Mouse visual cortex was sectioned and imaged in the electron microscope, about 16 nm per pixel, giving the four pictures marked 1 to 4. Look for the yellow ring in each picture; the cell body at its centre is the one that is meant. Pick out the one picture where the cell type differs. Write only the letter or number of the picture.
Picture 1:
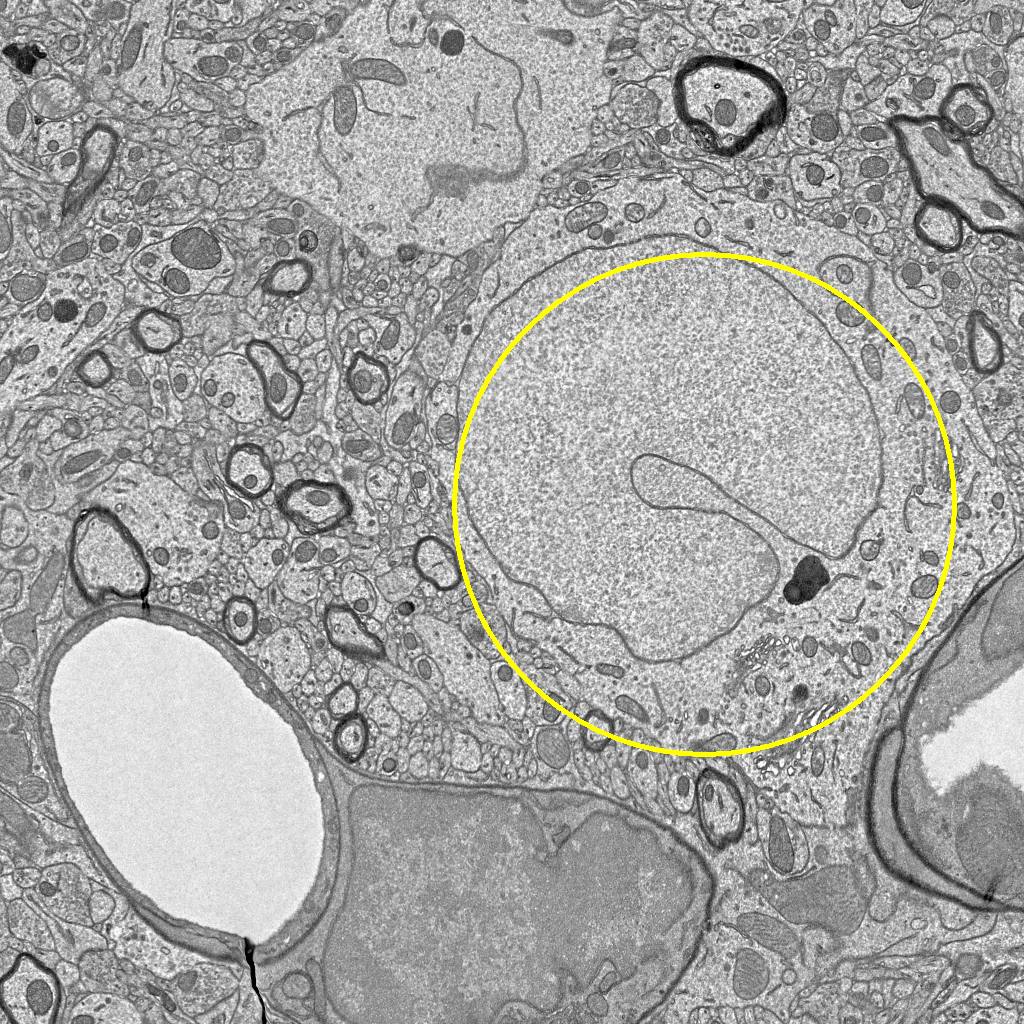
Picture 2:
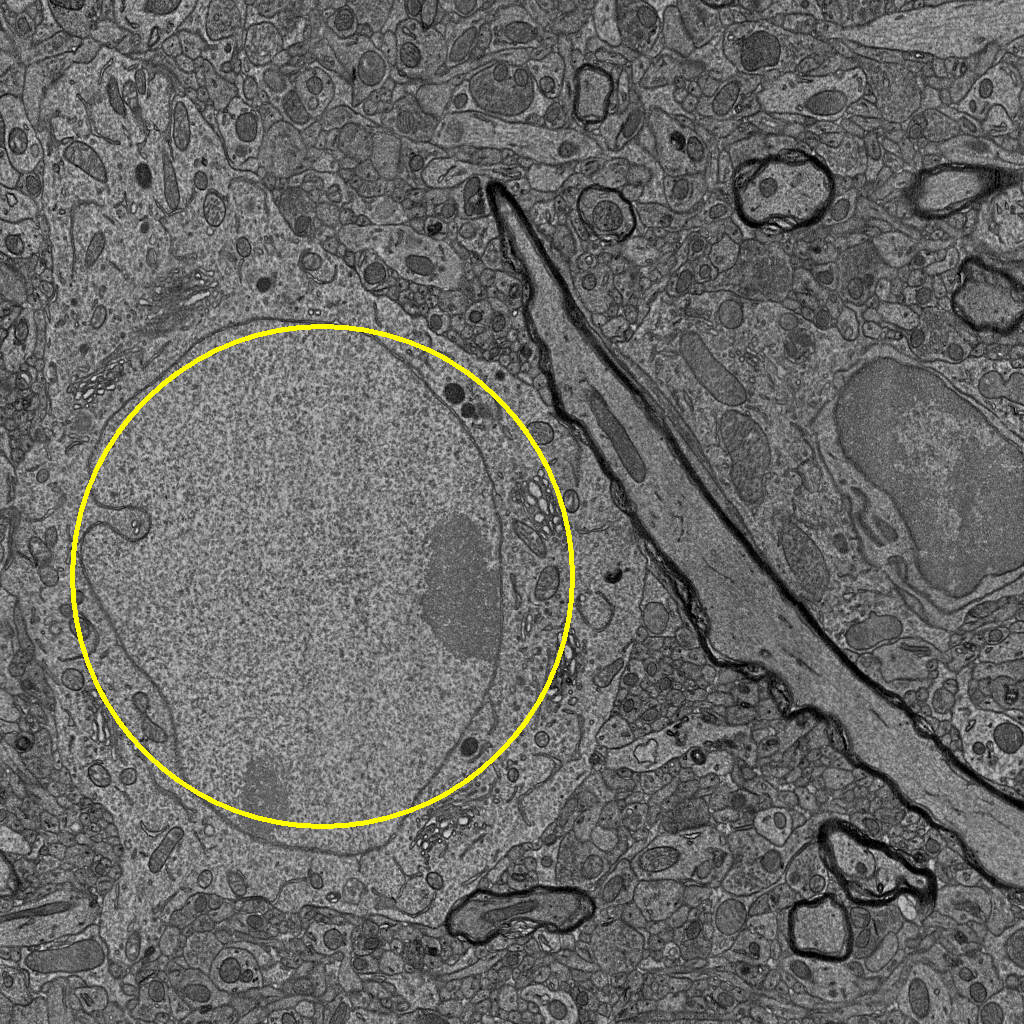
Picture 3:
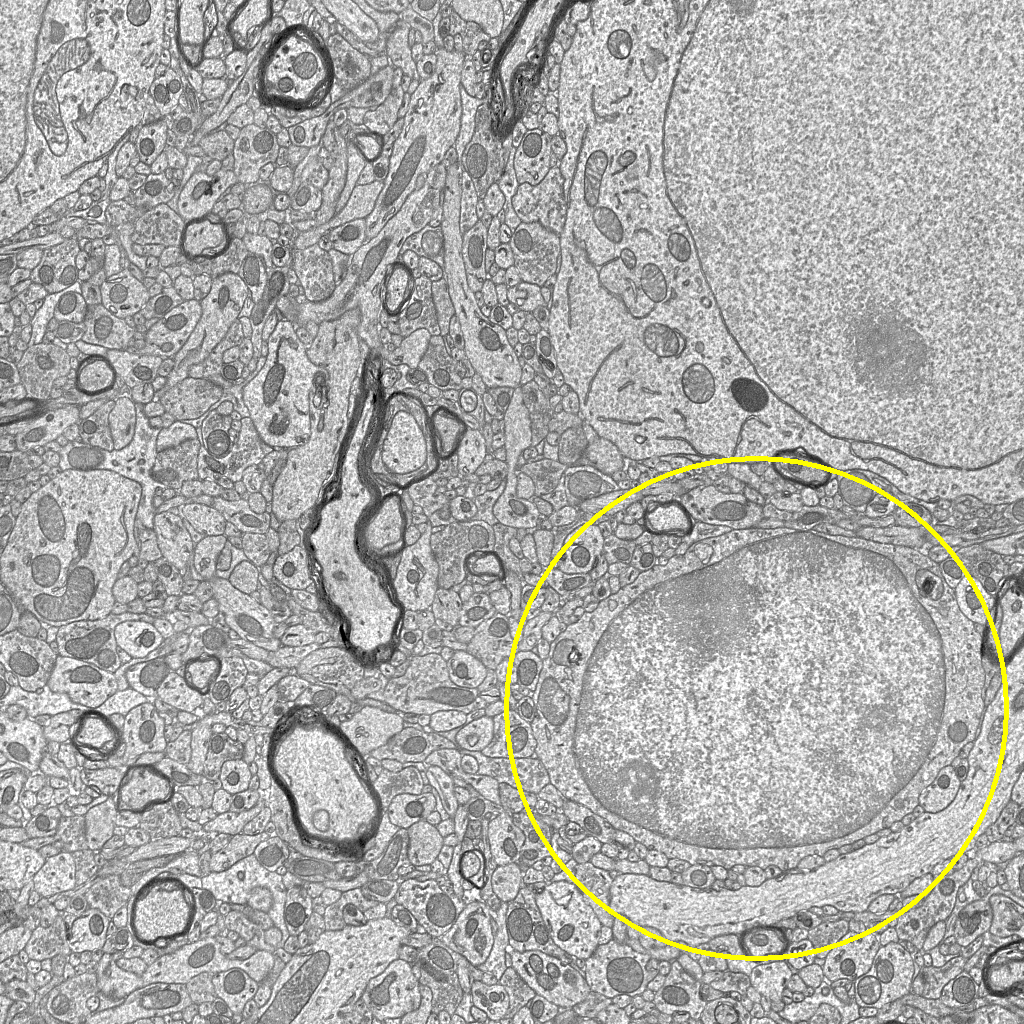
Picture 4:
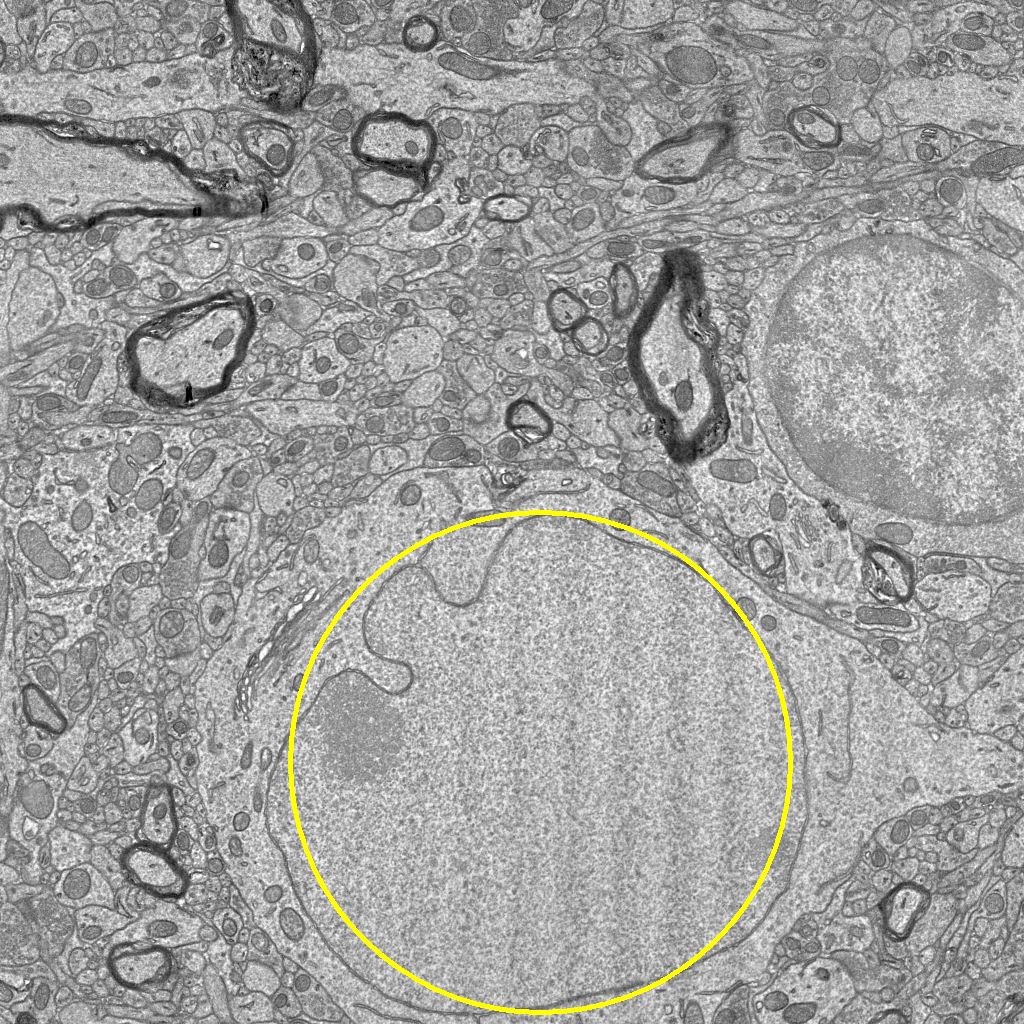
3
